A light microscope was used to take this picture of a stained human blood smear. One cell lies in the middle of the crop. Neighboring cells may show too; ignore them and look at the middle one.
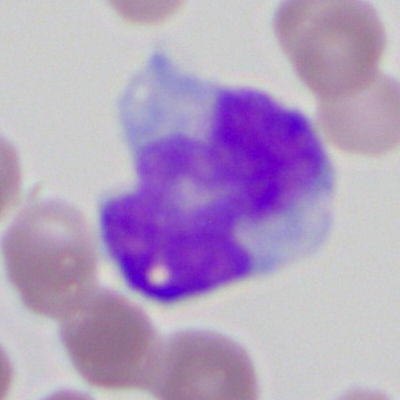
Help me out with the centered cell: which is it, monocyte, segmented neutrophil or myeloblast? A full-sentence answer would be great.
The cell in the middle of the field of view is a monocyte.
